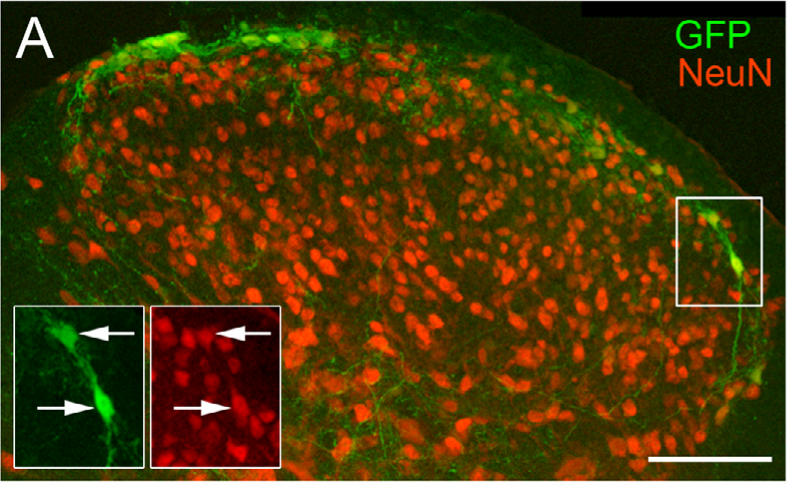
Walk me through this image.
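This is a section of the dorsal horn of the spinal cord, in which many neurons are seen as red cell bodies packed throughout the grey matter. A smaller number of green cells lie mainly along the curved dorsal margin, with slender green processes running between the red cell bodies. Some green cell bodies at the lateral edge, enlarged in the lower left insets, also contain red label and so appear double labelled. A thin band of tissue without red cell bodies borders the outer curved edge.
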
